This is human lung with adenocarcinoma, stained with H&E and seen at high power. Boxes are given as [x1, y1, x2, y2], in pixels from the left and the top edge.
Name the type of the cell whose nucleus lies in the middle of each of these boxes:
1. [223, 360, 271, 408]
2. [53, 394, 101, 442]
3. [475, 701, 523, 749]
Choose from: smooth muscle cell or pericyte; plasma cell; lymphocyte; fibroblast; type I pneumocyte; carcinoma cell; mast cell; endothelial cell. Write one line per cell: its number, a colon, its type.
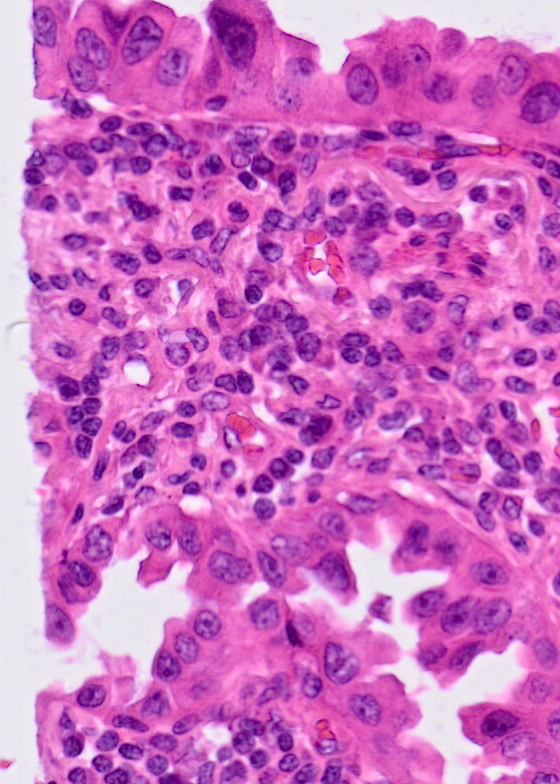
1: lymphocyte
2: lymphocyte
3: carcinoma cell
